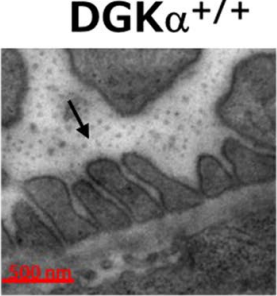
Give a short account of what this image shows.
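Podocyte processes on the glomerular capillary wall, seen by transmission electron microscopy. A row of narrow, rounded processes of fairly even width stands on a continuous, electron-dense basement membrane that runs across the lower part of the field. The processes are separated by narrow, regular gaps. Above them lies a pale space containing fine granular material, with a larger electron-dense cell body at the top of the field. Below the basement membrane lies a thin layer of further cytoplasm. An arrow points toward the row of processes.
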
